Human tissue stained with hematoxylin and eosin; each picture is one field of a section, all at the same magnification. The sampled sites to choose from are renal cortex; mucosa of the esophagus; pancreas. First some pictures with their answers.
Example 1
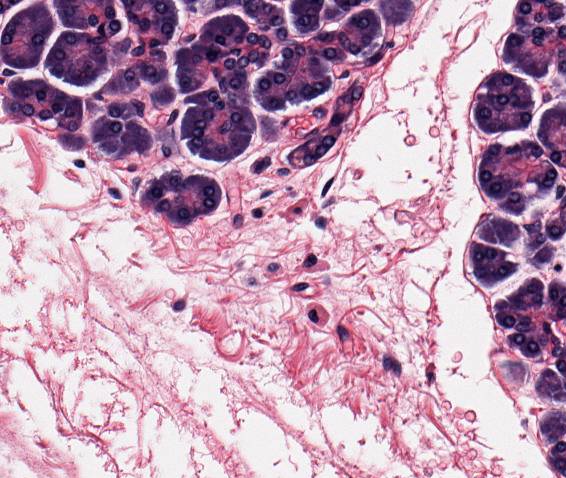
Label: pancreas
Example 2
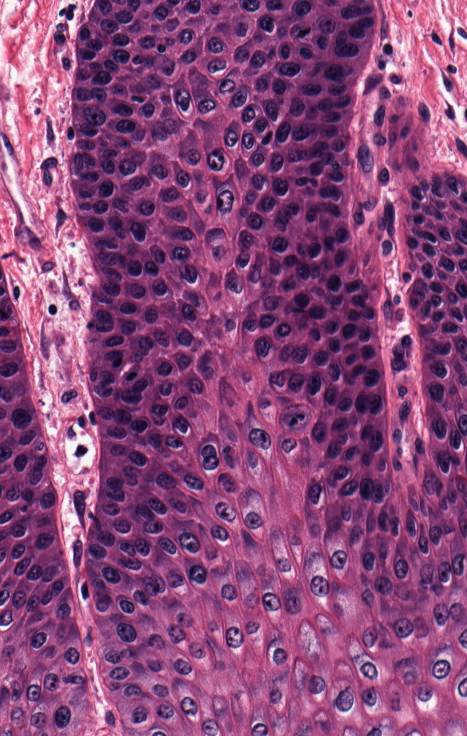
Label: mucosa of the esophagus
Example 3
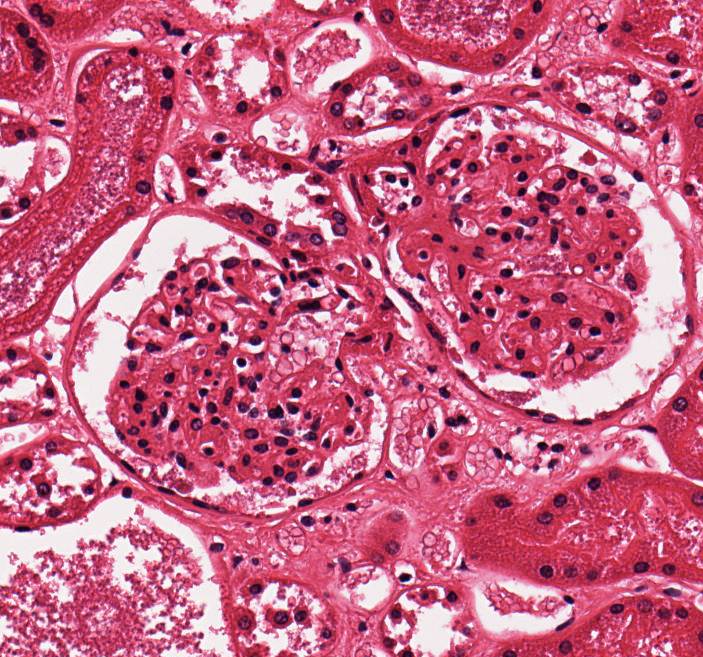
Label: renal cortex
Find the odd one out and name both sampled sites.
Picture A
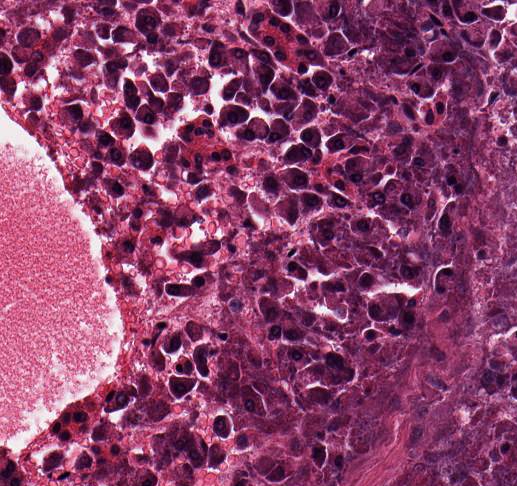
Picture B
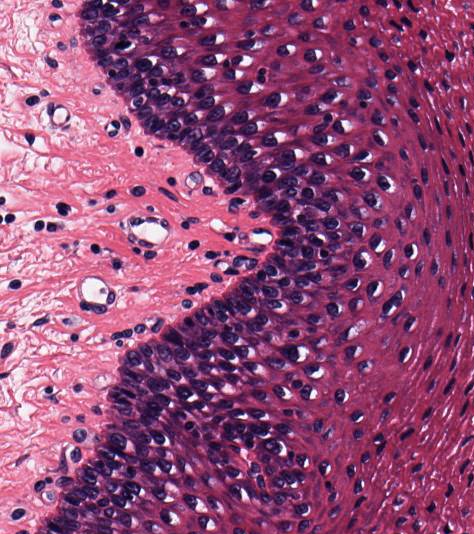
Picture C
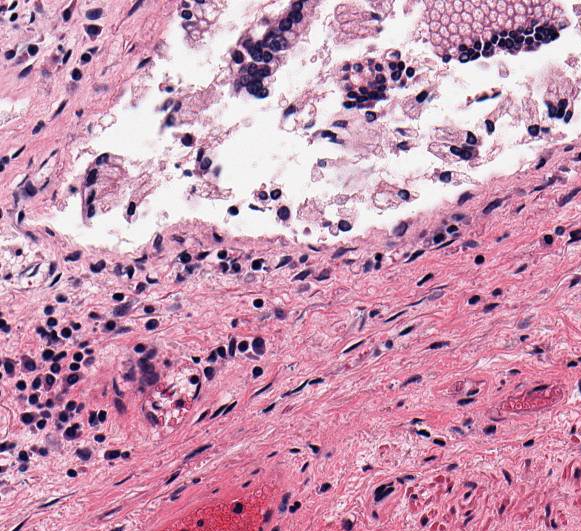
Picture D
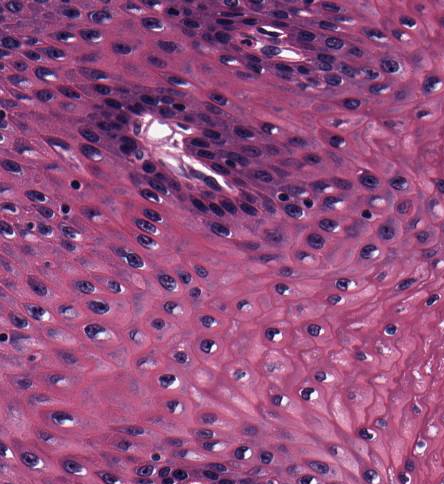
Odd one out: A (pancreas). The rest: mucosa of the esophagus.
